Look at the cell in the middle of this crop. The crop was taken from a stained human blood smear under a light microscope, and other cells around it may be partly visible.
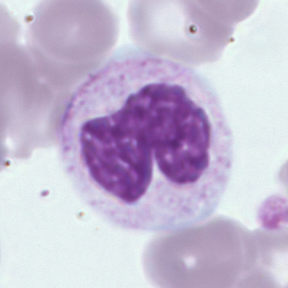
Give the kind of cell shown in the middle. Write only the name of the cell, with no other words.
band neutrophil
